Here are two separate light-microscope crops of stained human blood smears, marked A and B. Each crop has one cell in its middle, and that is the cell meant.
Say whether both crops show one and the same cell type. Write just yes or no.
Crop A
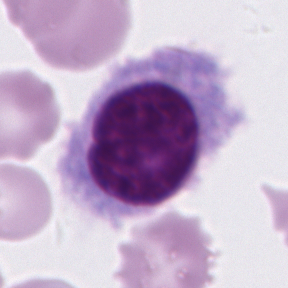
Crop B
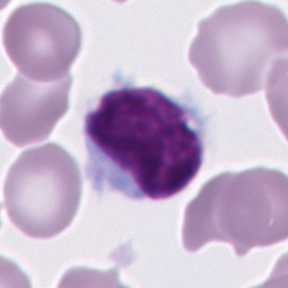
yes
